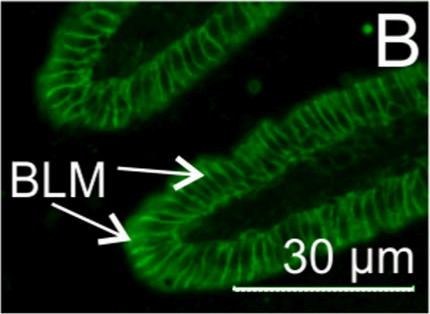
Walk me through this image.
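At higher magnification, the tip of a small intestinal villus shows its lining of tall columnar enterocytes standing in a single row. Green lines mark the side walls between the cells and their bases, while the surface facing the lumen is much less bright. The cells are narrow and closely packed, fanning out around the rounded tip of the villus. Inside the epithelial layer the villus core appears dim.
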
